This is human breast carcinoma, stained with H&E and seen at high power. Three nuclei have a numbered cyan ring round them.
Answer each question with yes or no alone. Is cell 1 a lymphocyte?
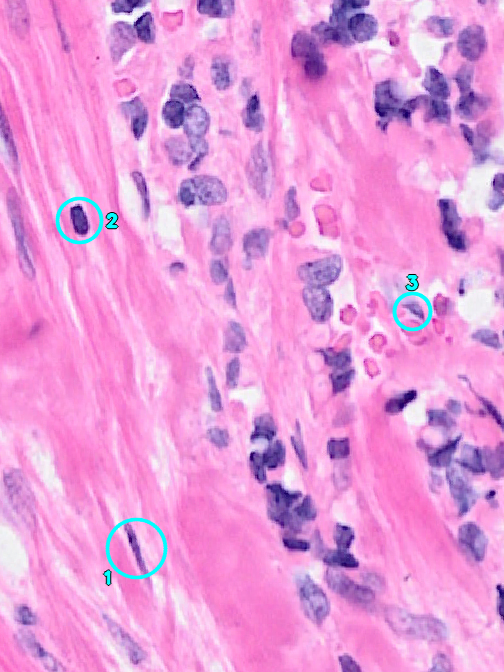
no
